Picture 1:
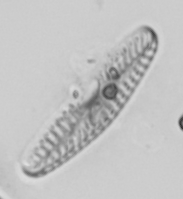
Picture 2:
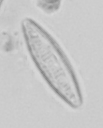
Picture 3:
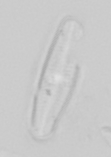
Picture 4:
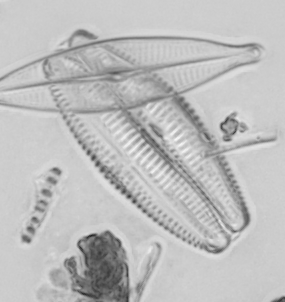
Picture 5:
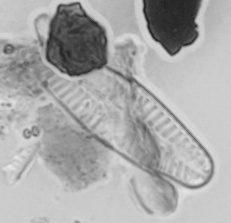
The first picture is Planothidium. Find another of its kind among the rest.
Picture 5.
